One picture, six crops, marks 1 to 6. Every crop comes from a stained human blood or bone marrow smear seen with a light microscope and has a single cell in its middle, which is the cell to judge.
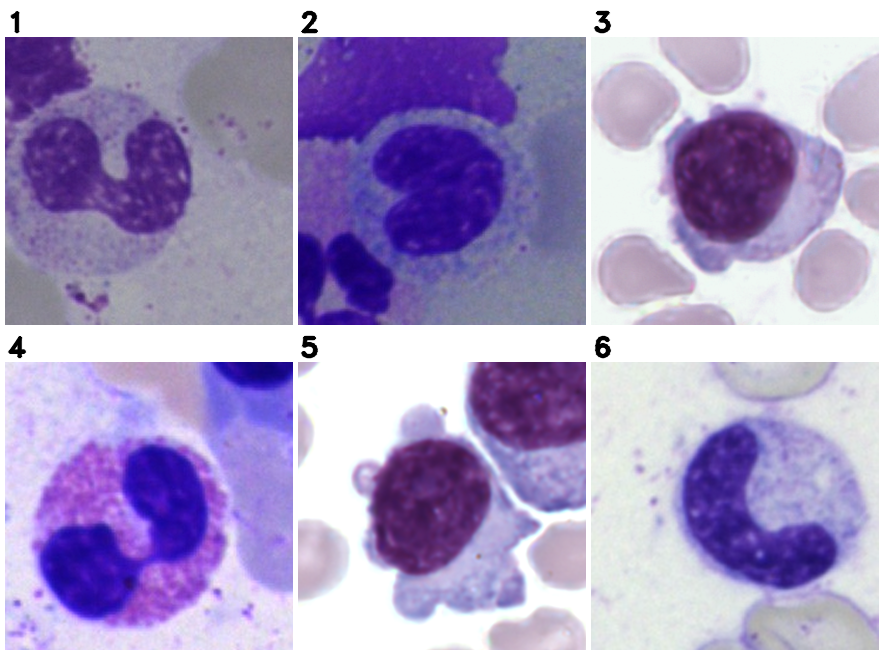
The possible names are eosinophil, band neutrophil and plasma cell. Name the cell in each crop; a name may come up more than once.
1: band neutrophil
2: band neutrophil
3: plasma cell
4: eosinophil
5: plasma cell
6: band neutrophil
